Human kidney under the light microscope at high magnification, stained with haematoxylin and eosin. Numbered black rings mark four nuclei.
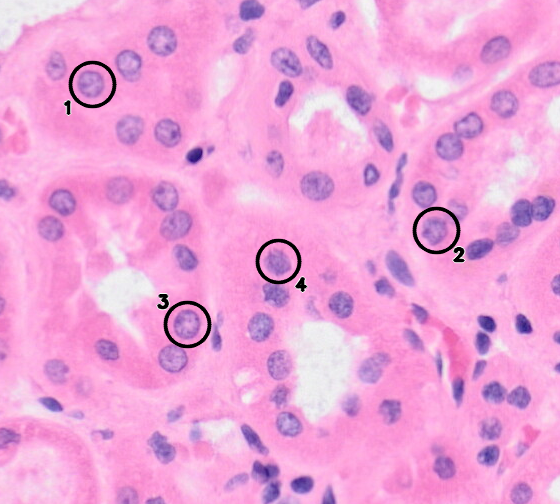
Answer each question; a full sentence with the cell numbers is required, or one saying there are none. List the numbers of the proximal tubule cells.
The cells with labels 1, 2 and 3 are proximal tubule cells.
